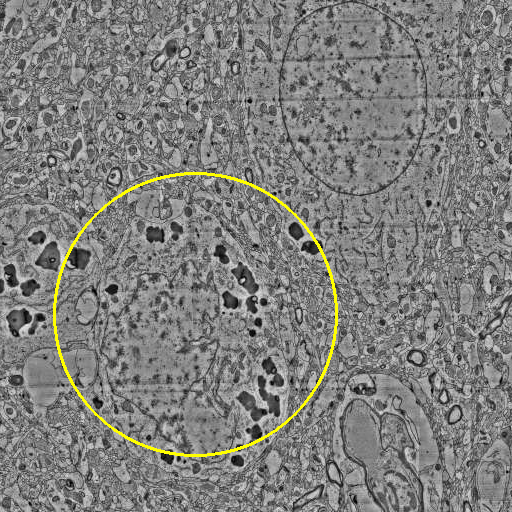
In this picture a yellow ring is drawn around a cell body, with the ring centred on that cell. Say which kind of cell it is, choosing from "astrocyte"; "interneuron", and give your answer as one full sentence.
Here it is an interneuron that sits at the centre of the drawn yellow ring.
